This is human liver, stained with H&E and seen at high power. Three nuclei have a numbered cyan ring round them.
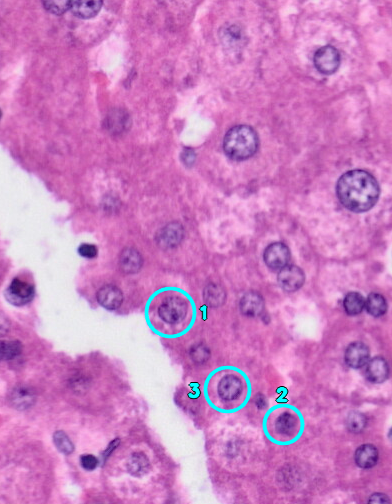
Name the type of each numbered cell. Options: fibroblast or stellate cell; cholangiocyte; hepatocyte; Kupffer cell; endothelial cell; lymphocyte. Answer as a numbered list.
1. hepatocyte
2. endothelial cell
3. hepatocyte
